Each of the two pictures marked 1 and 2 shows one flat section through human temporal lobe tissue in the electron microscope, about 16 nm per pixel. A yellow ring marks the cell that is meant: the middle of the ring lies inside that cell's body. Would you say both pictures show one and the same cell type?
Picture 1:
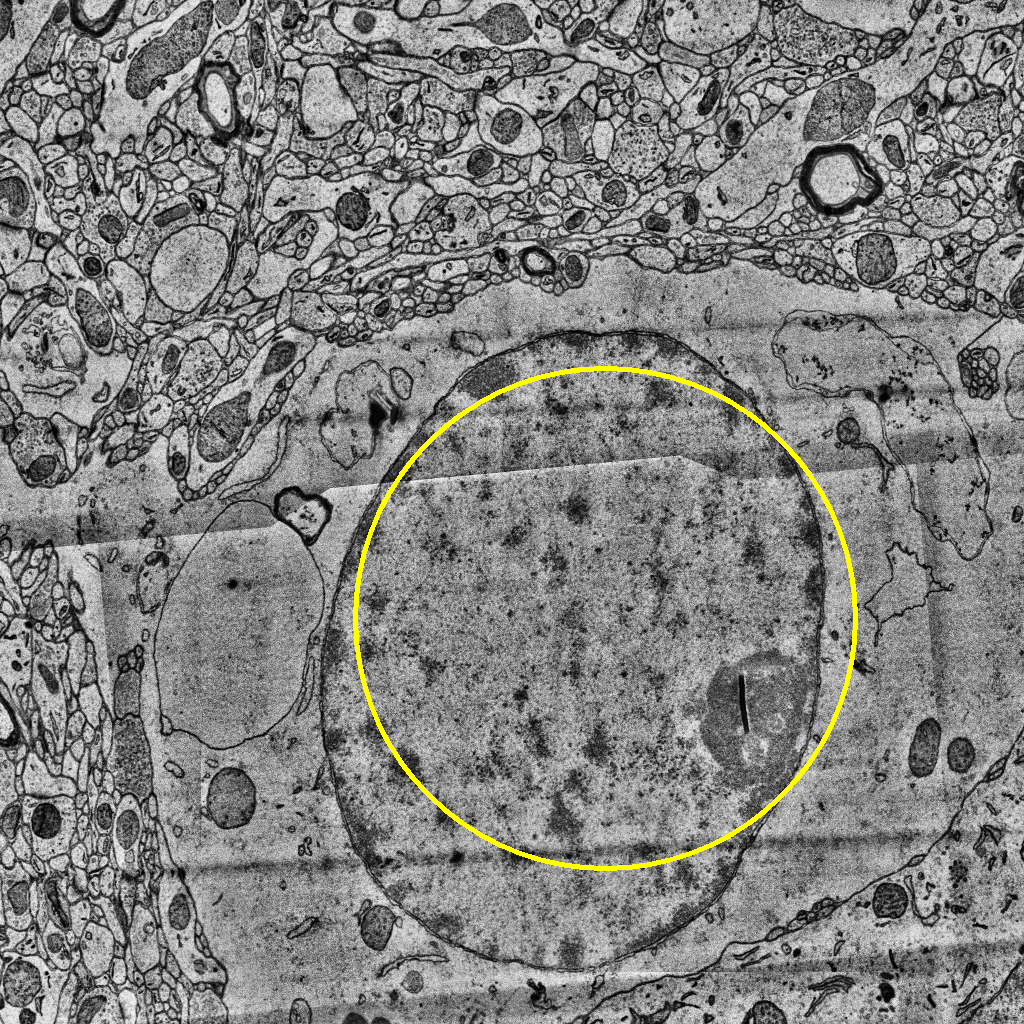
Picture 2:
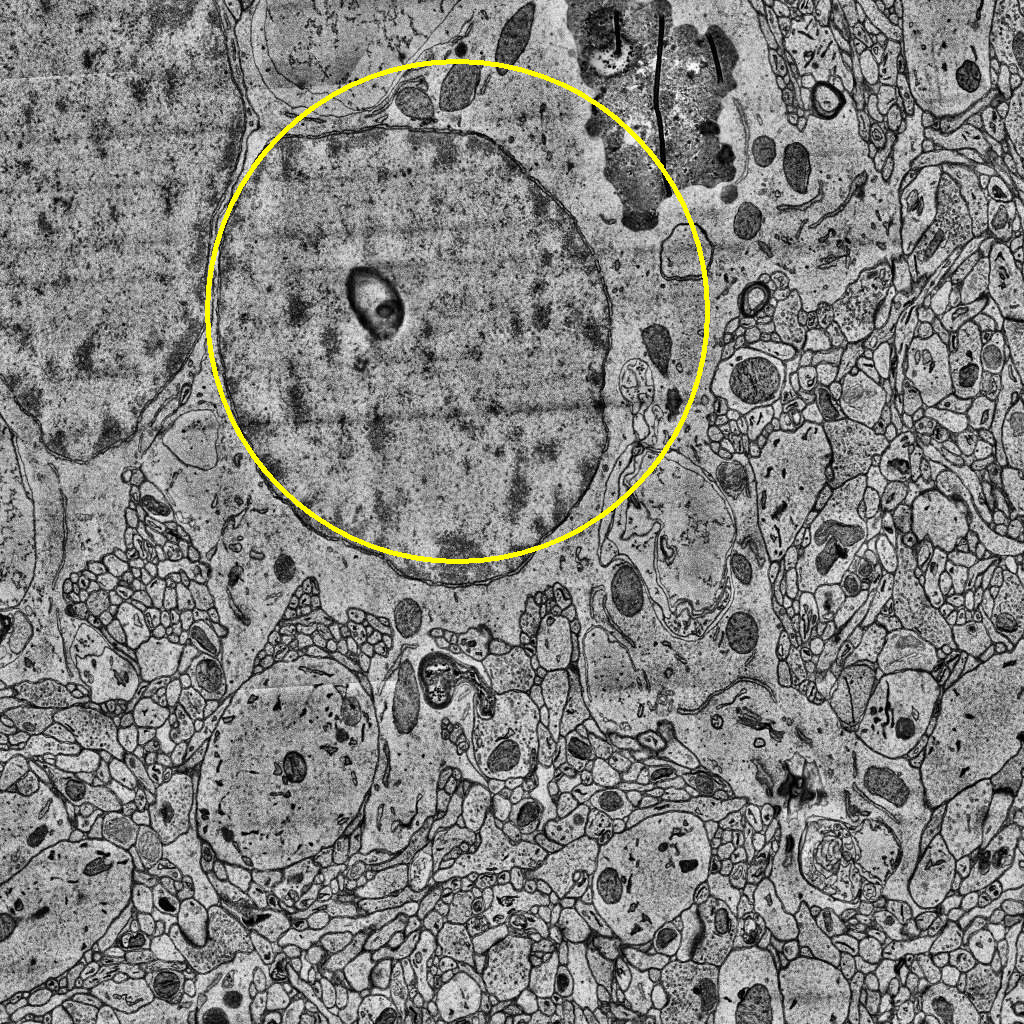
Yes, they are the same type: both are astrocytes.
